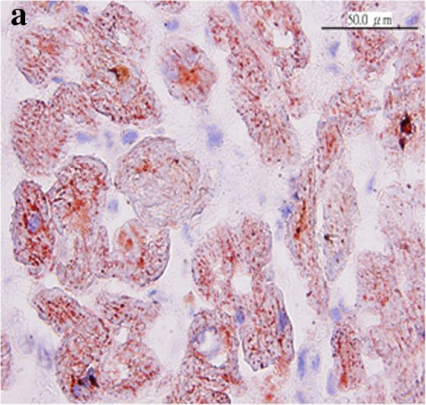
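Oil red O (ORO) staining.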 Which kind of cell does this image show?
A: Myocytes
